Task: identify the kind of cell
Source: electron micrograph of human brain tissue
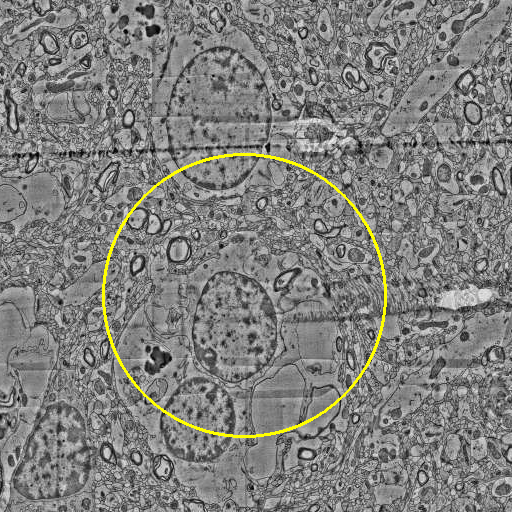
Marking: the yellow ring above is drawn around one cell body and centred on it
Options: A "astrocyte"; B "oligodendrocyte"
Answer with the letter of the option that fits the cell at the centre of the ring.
A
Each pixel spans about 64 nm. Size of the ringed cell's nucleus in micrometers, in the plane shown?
The nucleus has a long axis of about 7 micrometres and a short axis of about 5 micrometres in this plane.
